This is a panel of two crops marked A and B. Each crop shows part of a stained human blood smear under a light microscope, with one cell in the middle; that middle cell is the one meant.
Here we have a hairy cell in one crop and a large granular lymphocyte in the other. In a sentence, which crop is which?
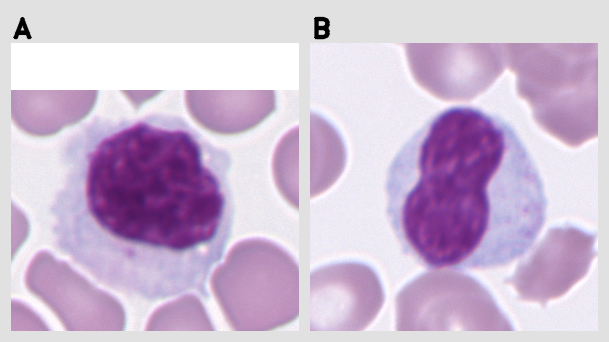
As for crop A, it is a hairy cell; crop B, by contrast, is a large granular lymphocyte.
